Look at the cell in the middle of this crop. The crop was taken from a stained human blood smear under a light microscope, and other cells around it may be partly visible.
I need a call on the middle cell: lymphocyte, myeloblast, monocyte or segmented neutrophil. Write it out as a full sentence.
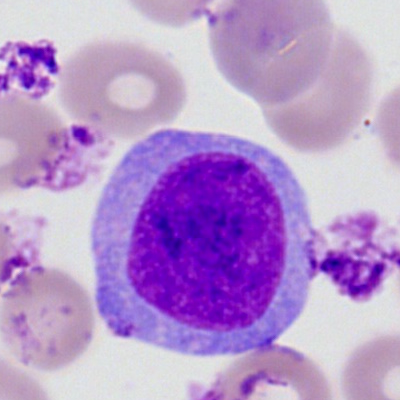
The cell at the central position in this crop is a myeloblast.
